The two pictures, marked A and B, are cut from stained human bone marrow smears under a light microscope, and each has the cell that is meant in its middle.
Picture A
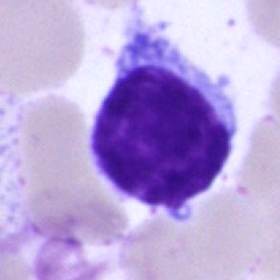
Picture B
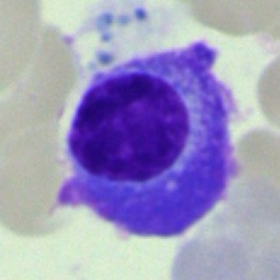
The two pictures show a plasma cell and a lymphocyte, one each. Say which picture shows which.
A: lymphocyte
B: plasma cell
